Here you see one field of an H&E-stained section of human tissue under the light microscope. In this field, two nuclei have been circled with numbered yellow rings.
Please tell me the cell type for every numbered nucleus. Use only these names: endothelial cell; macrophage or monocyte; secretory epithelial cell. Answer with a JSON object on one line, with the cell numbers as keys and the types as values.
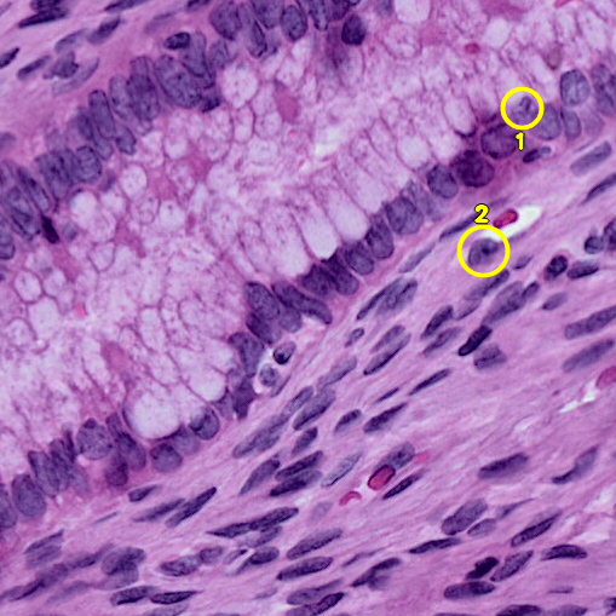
{"1": "secretory epithelial cell", "2": "endothelial cell"}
